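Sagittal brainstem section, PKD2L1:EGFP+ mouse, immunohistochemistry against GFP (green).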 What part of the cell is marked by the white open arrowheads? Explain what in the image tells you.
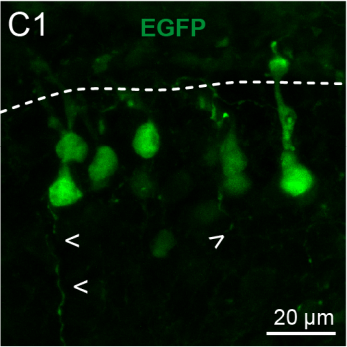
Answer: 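The arrowheads mark a thin beaded green fibre running downward below the cell bodies. The fibre is much thinner than the processes reaching up toward the dashed line. The answer: axon-like structure.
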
